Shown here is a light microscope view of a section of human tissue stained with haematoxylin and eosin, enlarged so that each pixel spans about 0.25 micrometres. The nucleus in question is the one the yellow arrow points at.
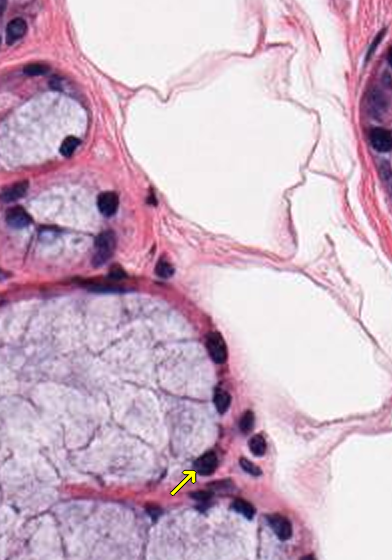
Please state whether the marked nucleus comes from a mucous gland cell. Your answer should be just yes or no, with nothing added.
yes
